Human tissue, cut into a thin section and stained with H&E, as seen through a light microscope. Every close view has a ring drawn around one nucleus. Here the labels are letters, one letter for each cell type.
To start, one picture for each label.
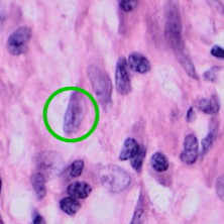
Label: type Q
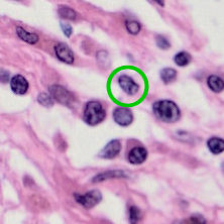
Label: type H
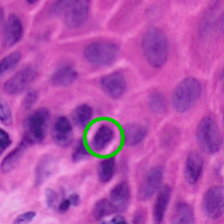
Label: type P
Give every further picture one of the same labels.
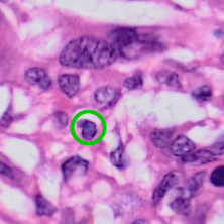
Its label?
type H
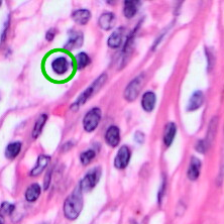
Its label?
type H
